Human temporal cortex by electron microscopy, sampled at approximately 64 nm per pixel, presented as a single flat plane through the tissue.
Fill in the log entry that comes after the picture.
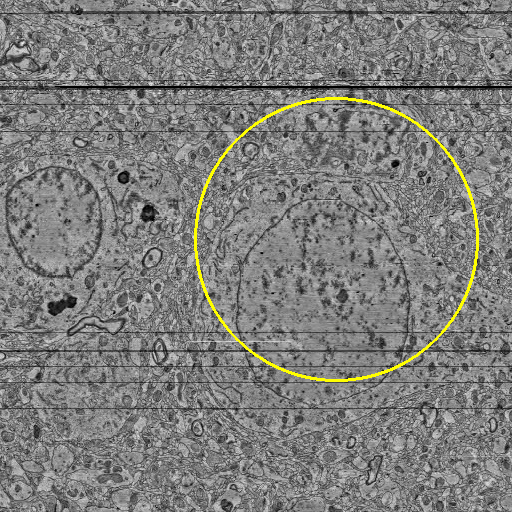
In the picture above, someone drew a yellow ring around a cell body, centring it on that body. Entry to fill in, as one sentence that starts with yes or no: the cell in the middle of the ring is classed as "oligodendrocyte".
No, the cell in the ring's centre in this image is of a different kind.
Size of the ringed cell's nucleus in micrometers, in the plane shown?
Roughly 13 by 11 micrometres in this plane, for the nucleus of the ringed cell.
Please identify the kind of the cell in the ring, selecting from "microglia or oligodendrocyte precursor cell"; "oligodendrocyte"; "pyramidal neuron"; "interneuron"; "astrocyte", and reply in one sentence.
Instead, the cell inside the ring is a pyramidal neuron.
